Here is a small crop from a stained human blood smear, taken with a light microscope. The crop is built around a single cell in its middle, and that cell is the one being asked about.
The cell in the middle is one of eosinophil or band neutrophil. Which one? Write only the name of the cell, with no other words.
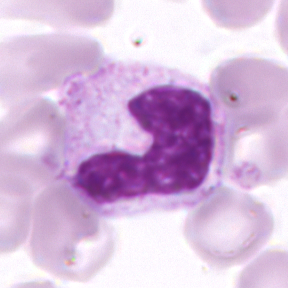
band neutrophil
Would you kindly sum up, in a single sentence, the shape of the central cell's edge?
Because its outline is ragged or drawn out into projections, the cell lacks a smooth border.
